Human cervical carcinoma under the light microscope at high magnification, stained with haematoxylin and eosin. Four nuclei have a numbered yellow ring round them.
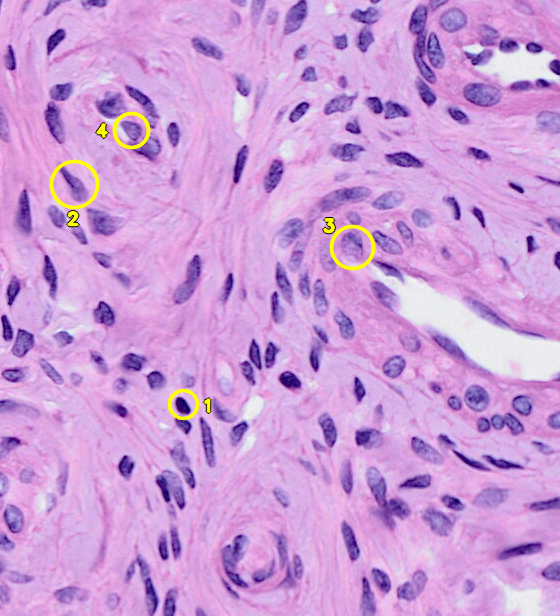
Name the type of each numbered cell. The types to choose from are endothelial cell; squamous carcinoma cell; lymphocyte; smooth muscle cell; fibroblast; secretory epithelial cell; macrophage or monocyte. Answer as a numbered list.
1. lymphocyte
2. fibroblast
3. smooth muscle cell
4. endothelial cell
